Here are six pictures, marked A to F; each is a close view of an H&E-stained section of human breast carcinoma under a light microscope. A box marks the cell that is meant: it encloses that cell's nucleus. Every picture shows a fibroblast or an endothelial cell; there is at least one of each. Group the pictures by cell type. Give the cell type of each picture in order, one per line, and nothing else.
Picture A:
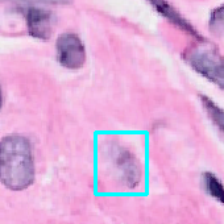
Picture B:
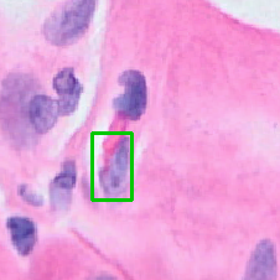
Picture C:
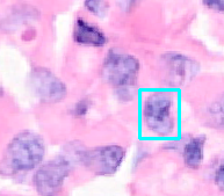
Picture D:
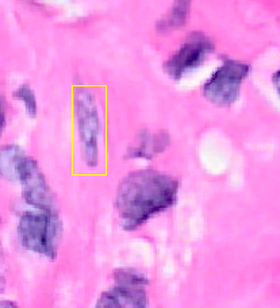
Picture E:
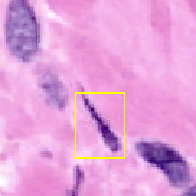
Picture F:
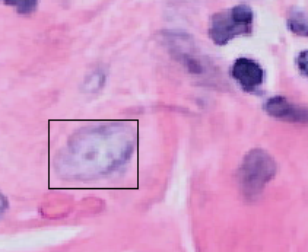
fibroblast
endothelial cell
endothelial cell
endothelial cell
fibroblast
endothelial cell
